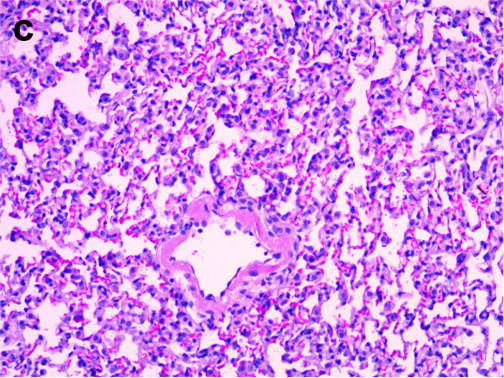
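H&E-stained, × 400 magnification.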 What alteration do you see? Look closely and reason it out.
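The alveolar walls are broad and densely cellular. Only narrow, scattered airspaces remain between the walls.
Alveolar wall thickening.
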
